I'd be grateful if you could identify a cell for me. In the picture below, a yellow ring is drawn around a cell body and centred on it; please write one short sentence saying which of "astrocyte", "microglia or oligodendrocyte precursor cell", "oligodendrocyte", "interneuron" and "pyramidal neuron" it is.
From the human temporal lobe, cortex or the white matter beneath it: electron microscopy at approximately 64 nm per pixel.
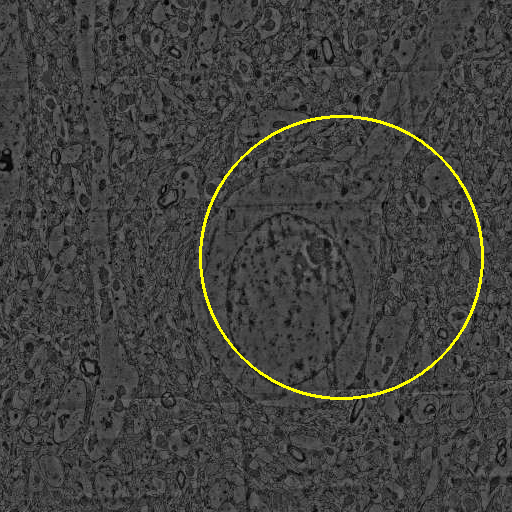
The cell under the ring's centre is a pyramidal neuron.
